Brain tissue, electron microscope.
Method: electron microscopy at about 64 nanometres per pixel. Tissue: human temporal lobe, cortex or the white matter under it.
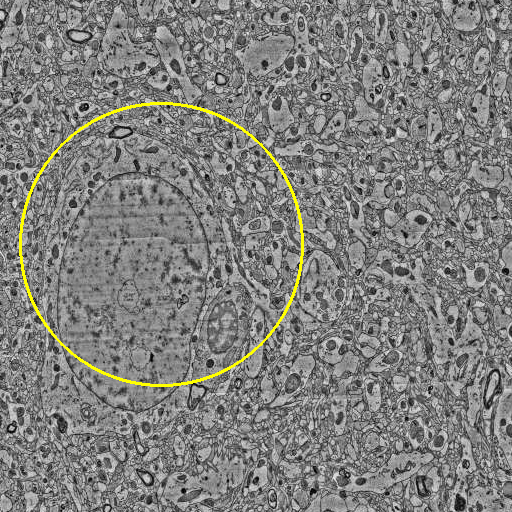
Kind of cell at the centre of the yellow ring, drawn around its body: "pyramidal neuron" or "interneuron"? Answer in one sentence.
The ring's centre falls on a pyramidal neuron.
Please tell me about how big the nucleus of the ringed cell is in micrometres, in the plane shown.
In this plane the nucleus is about 15 micrometres by 11.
